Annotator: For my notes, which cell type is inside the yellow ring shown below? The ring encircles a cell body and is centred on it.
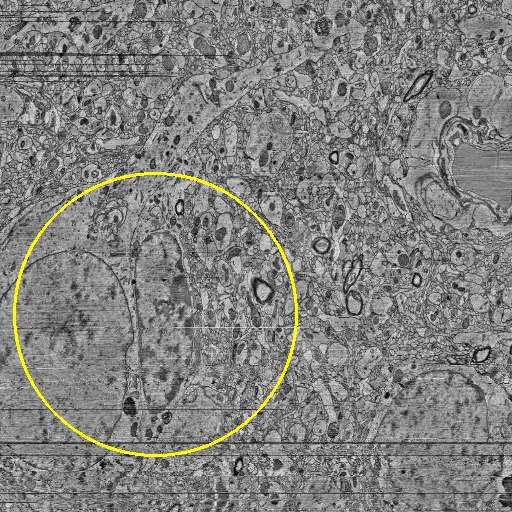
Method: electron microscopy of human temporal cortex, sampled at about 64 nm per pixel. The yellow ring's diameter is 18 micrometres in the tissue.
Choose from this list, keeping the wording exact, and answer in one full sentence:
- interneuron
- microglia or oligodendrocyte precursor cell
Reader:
At the centre of the yellow ring there is a microglial cell or oligodendrocyte precursor cell, as shown in the picture.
